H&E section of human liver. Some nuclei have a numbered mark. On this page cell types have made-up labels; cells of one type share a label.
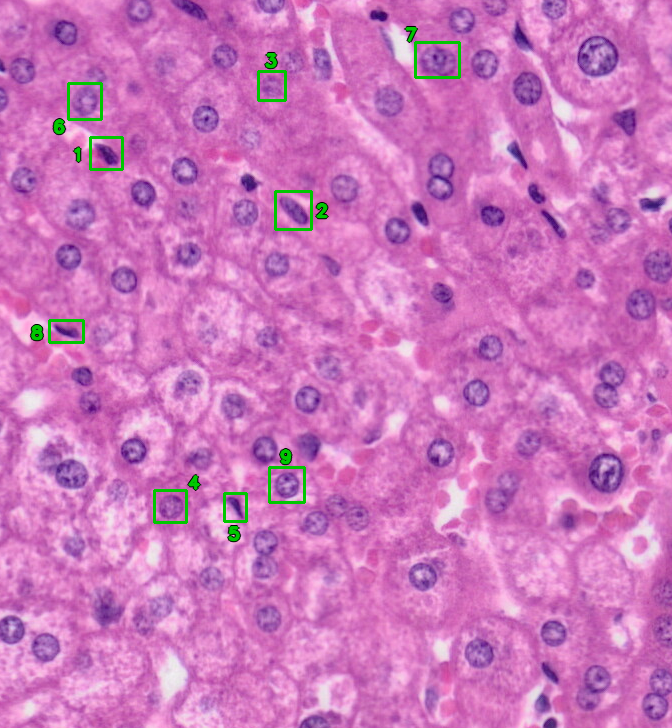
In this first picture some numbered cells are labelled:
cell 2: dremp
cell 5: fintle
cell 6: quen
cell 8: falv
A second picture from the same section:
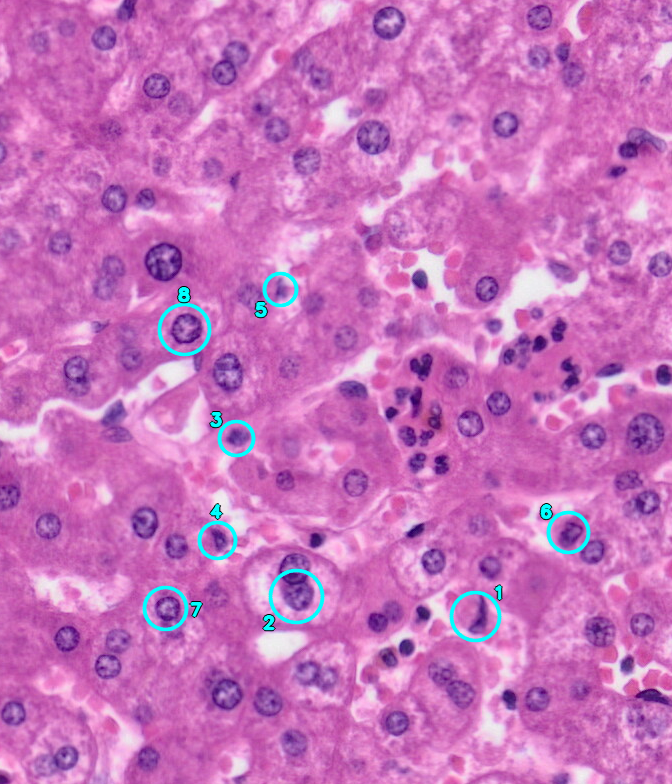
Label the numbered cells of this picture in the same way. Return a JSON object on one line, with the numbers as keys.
{"1": "dremp", "2": "quen", "3": "fintle", "4": "fintle", "5": "falv", "6": "dremp", "7": "quen", "8": "quen"}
